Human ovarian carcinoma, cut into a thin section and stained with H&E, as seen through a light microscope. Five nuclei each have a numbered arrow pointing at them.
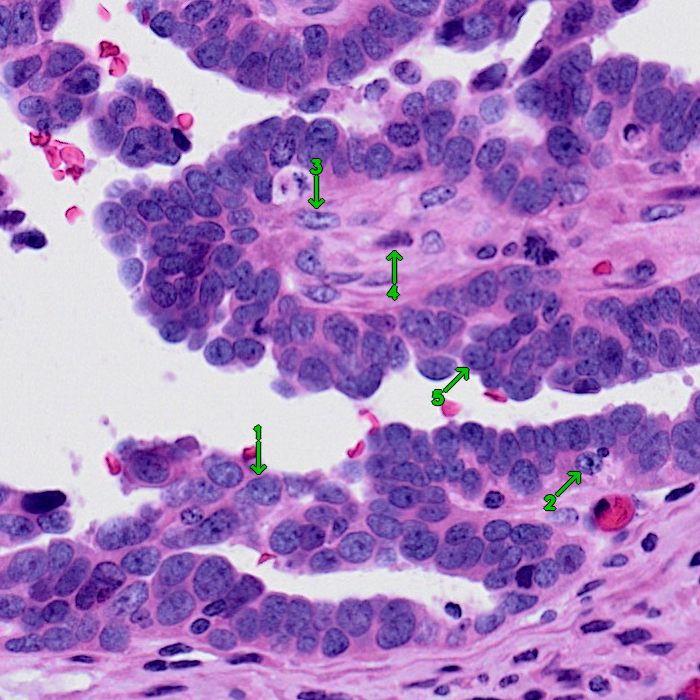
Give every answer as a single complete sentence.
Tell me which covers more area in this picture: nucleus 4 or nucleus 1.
Nucleus 1 is the larger one, covering about 2 times the area of nucleus 4.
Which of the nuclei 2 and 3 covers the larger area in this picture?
The larger nucleus is 3, at roughly 1.5 times the area of 2.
